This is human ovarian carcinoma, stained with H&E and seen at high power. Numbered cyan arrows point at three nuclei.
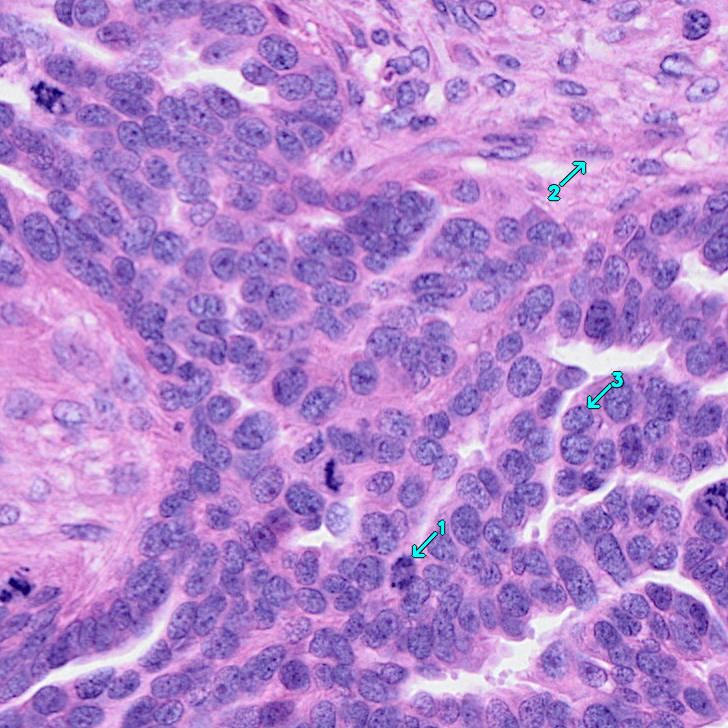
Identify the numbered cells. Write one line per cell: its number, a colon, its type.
1: carcinoma cell
2: fibroblast
3: carcinoma cell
